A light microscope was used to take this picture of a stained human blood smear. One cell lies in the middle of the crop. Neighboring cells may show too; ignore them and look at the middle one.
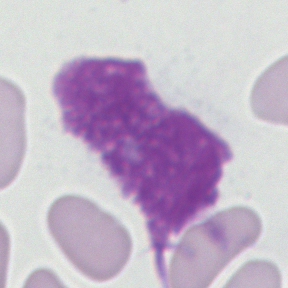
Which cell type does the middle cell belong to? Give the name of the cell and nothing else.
smudge cell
